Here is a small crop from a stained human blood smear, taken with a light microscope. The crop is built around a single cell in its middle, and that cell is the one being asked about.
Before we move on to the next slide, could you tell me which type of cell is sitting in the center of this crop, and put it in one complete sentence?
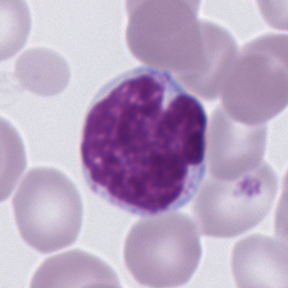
By classification, the middle cell of this crop is a large granular lymphocyte.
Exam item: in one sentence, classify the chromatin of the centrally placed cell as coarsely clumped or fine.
This nucleus has coarsely clumped chromatin.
